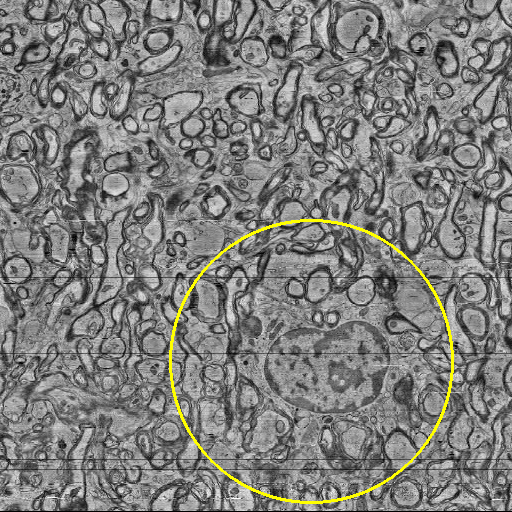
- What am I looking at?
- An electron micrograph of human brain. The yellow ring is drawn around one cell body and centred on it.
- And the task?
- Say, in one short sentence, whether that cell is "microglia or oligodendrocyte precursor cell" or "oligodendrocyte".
The cell in the middle of the ring is a microglial cell or oligodendrocyte precursor cell.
